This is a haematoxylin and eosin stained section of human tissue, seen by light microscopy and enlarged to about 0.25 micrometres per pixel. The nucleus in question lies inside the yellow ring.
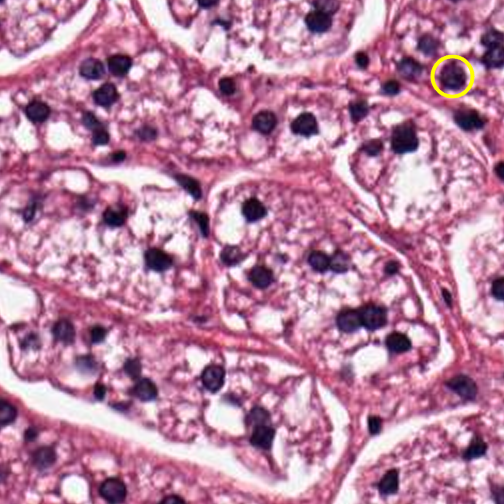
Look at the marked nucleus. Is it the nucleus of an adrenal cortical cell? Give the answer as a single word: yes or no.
yes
